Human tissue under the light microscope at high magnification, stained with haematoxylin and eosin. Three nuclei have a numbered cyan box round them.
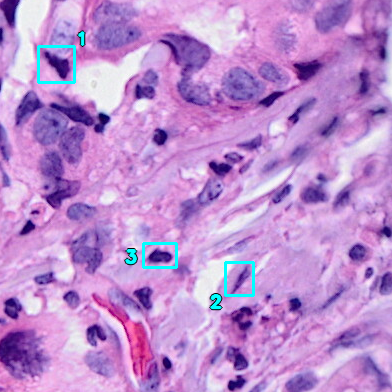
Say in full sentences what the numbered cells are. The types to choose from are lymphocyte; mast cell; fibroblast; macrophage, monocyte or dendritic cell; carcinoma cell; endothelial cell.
Cell 1 is a carcinoma cell, cell 2 is a fibroblast and cell 3 is a lymphocyte.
